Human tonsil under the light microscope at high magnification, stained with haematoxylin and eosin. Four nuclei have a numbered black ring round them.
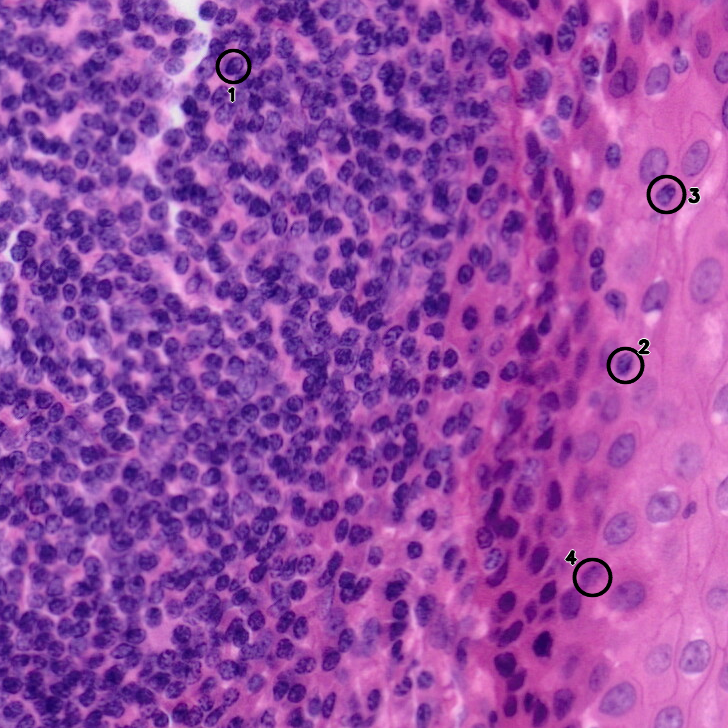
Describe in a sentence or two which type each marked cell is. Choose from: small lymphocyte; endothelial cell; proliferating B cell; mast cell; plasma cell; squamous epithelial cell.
Cell 1 is a small lymphocyte, cell 2 is a squamous epithelial cell, cell 3 is a squamous epithelial cell and cell 4 is a squamous epithelial cell.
